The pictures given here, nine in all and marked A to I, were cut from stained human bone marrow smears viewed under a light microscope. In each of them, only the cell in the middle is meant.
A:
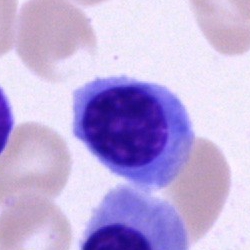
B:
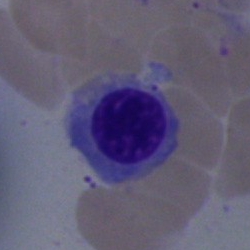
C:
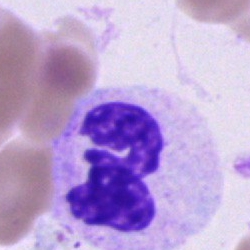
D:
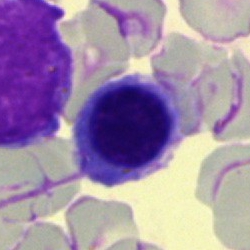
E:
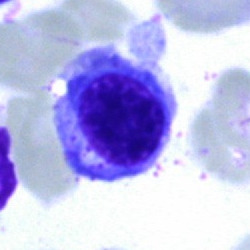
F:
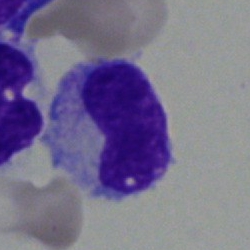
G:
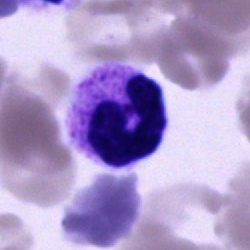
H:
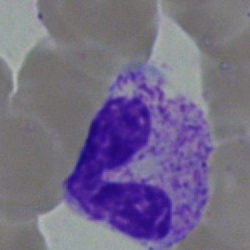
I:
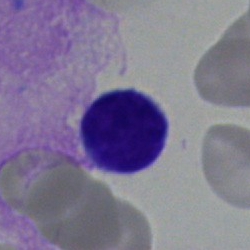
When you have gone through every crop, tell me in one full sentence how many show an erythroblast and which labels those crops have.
Of the crops presented, A, B, D and E show erythroblasts, a total of four.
